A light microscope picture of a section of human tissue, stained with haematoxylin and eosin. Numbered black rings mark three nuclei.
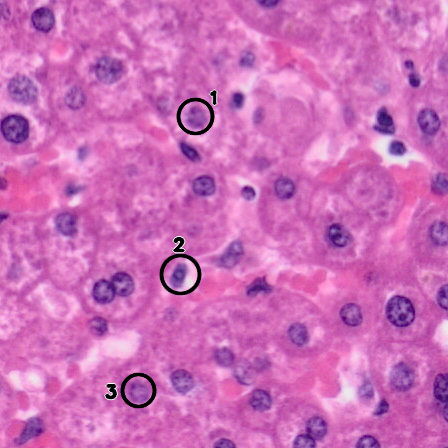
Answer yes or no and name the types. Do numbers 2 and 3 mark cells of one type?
No, cell 2 is a lymphocyte and cell 3 is a hepatocyte.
